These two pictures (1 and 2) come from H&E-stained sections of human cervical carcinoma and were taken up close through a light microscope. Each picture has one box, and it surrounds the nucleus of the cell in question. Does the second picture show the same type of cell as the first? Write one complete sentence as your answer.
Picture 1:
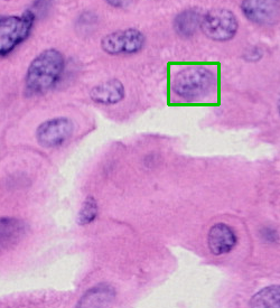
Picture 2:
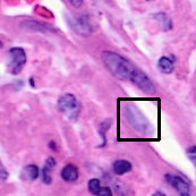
No, they differ: the cell is a squamous carcinoma cell in picture 1 and an endothelial cell in picture 2.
